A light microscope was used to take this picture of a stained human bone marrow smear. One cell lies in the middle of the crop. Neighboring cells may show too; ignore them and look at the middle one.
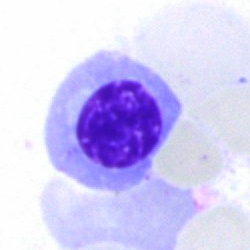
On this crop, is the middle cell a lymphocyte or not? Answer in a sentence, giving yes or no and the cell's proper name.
No, the cell in the middle is categorised as a normoblast, not a lymphocyte.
